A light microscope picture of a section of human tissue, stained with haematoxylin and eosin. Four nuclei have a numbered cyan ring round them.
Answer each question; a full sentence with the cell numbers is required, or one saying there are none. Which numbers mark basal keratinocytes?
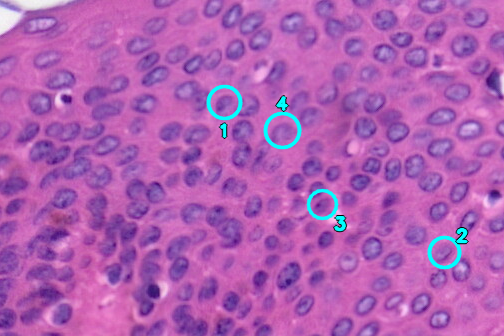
Among the cells marked with numbers, the only one that is a basal keratinocyte is number 3.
